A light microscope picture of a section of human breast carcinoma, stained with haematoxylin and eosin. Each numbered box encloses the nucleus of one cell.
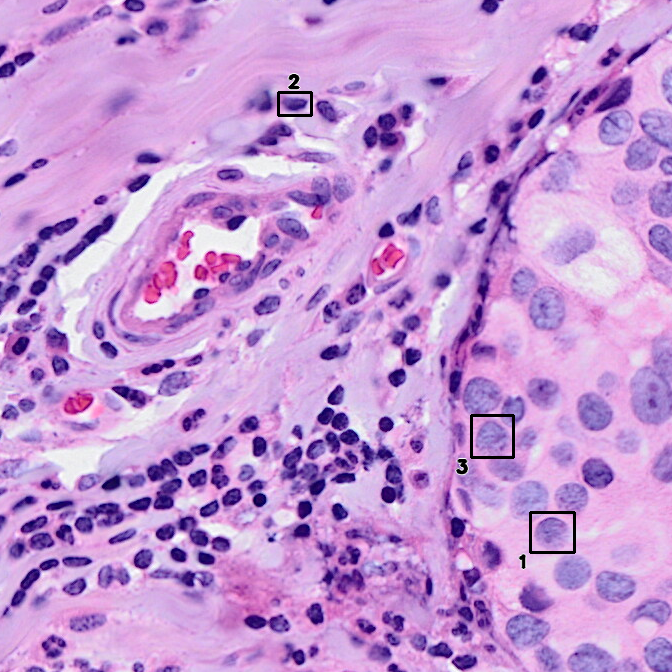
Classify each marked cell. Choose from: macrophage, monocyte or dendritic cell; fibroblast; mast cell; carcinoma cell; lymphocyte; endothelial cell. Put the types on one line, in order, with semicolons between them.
carcinoma cell; lymphocyte; carcinoma cell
